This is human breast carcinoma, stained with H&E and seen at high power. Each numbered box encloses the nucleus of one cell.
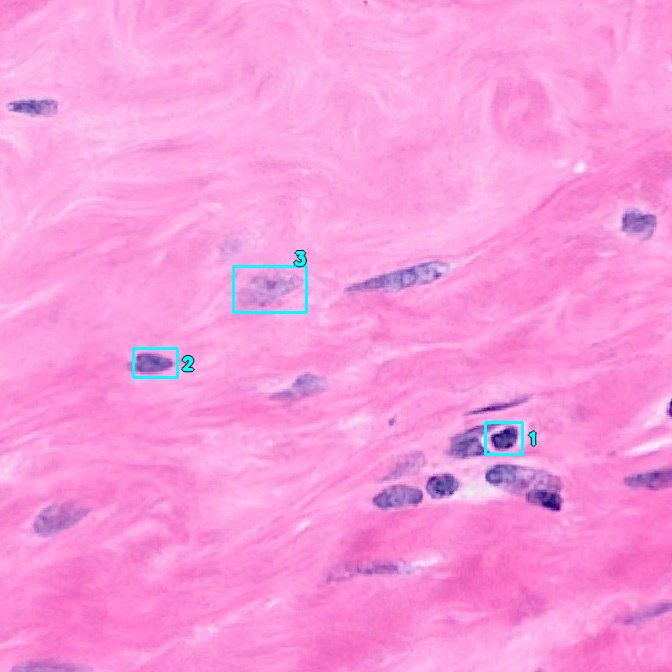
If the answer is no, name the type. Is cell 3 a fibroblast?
Yes.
